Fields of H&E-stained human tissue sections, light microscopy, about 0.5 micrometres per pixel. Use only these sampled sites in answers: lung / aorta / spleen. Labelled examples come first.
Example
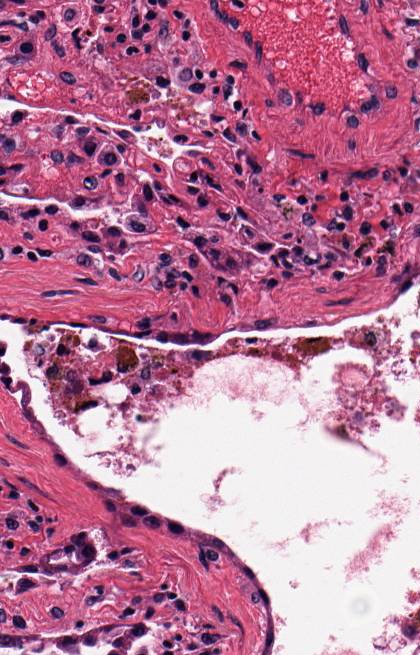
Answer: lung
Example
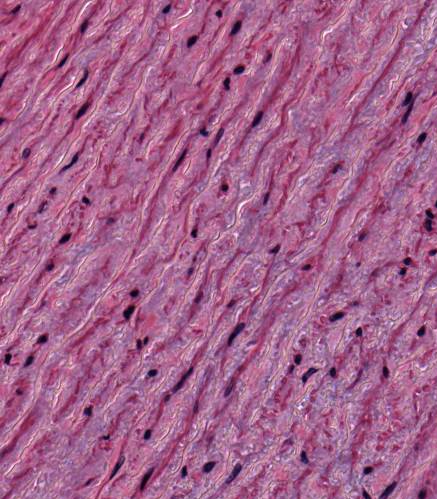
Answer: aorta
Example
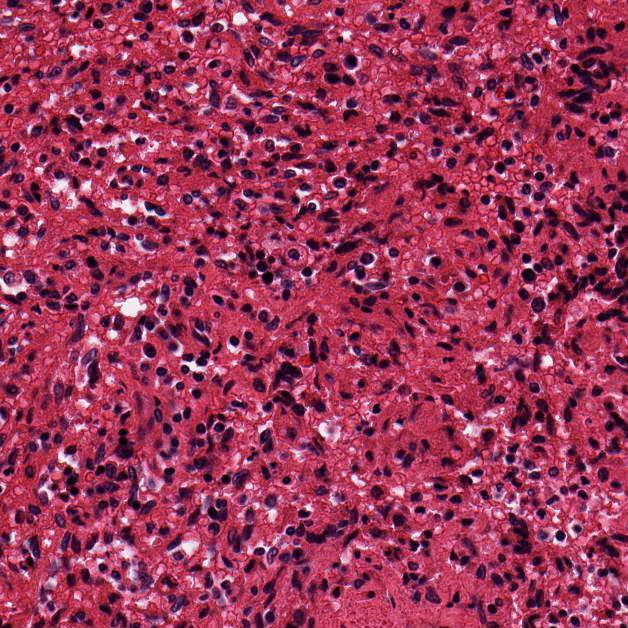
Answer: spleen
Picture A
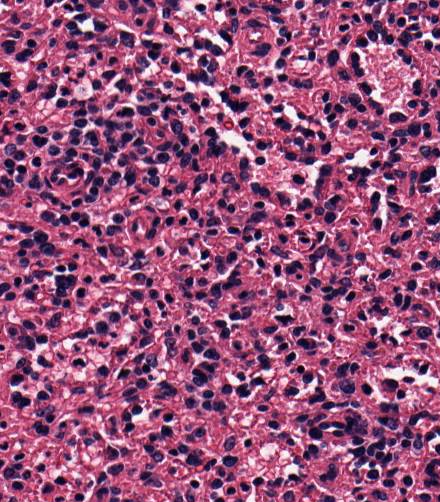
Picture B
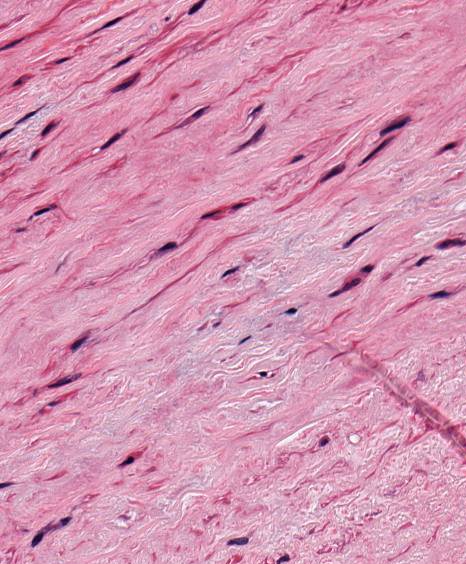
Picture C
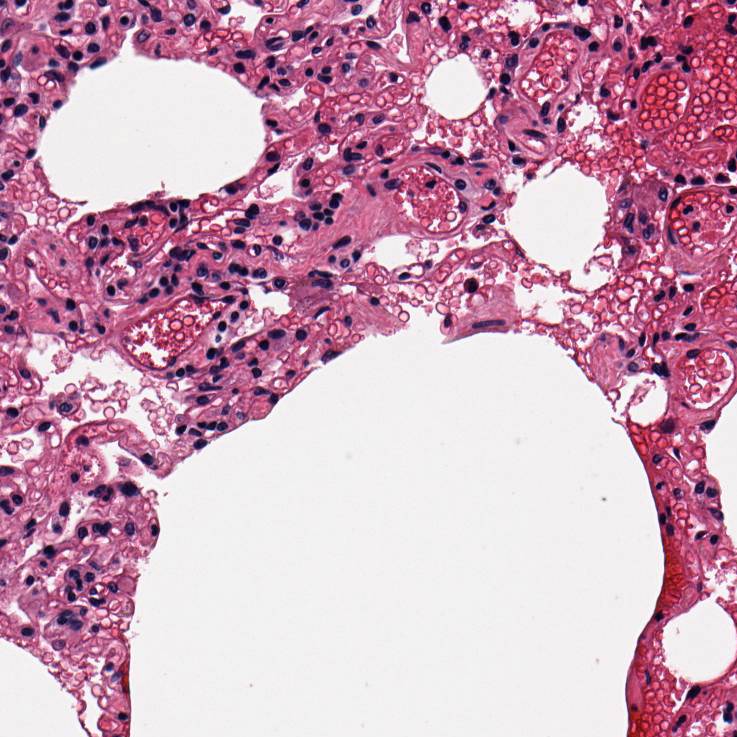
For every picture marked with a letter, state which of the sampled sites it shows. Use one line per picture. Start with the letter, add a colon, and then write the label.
A: spleen
B: aorta
C: lung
